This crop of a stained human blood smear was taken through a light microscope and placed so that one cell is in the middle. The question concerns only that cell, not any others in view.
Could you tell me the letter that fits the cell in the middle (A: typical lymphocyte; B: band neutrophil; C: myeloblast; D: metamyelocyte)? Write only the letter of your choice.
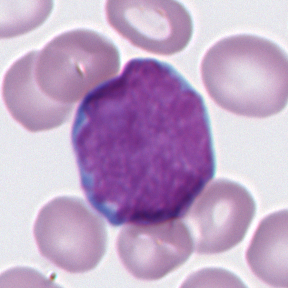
C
